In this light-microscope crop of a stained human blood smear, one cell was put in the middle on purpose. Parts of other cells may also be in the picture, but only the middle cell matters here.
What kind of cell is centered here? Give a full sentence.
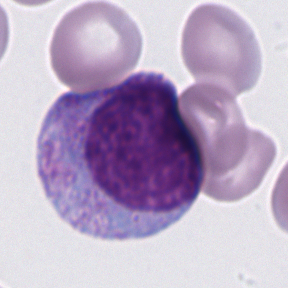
This particular crop is centered on a promyelocyte.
